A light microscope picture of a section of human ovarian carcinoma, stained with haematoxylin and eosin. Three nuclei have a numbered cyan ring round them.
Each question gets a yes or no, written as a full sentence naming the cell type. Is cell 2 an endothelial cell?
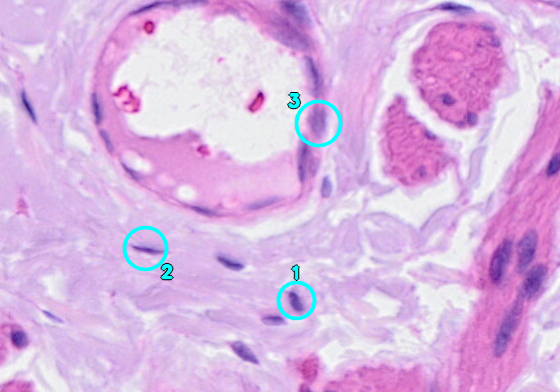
No, rather than an endothelial cell, cell number 2 is a fibroblast.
